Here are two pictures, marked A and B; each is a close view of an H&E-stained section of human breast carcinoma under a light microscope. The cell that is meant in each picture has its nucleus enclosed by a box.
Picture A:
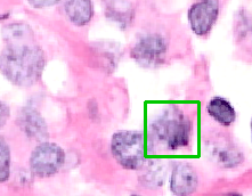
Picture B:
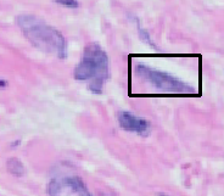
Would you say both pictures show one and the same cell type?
no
